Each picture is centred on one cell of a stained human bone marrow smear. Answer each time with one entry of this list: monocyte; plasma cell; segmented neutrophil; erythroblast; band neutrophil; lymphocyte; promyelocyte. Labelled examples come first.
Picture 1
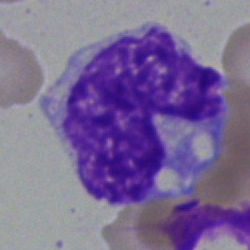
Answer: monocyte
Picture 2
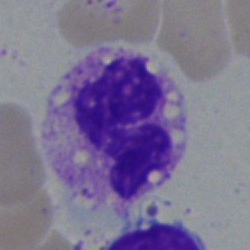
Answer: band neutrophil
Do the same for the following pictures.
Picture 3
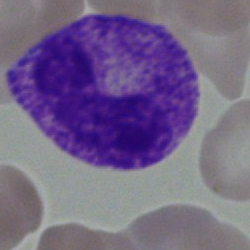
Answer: band neutrophil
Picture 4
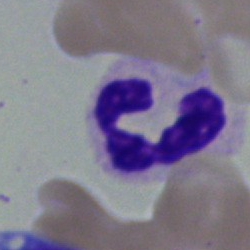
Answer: segmented neutrophil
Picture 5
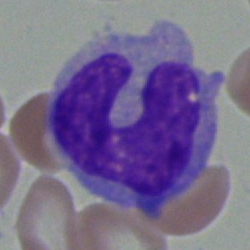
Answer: monocyte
